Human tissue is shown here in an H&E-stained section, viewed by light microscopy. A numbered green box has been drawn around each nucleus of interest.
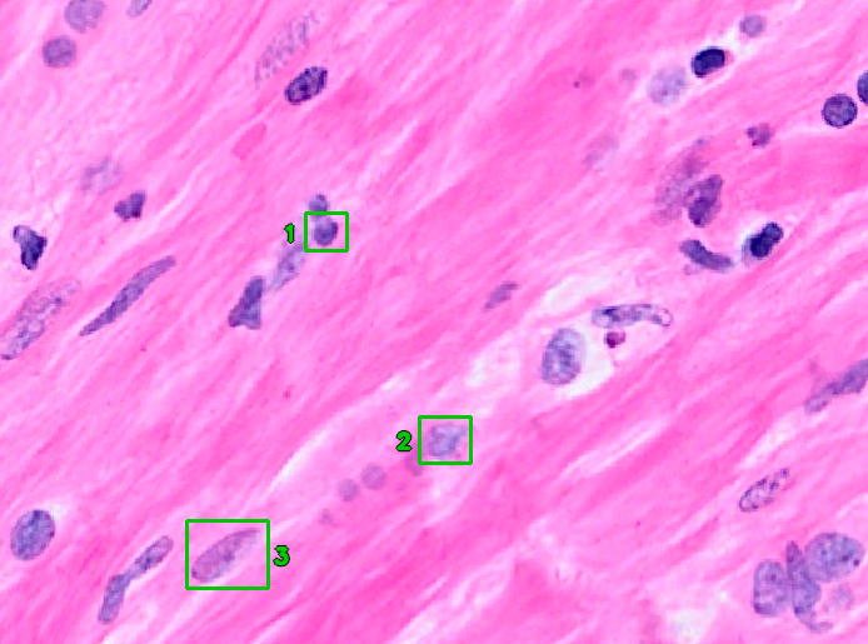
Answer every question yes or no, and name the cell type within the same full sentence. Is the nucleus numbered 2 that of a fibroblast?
Yes, the cell that number 2 points to is a fibroblast.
